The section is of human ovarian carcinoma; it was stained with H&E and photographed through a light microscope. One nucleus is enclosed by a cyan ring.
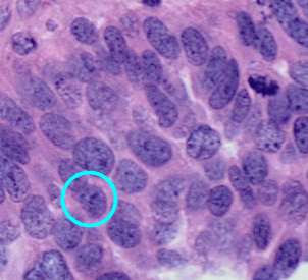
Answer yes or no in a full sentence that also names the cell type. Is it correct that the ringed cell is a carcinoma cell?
Yes, the identification stands: the ringed cell is a carcinoma cell.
